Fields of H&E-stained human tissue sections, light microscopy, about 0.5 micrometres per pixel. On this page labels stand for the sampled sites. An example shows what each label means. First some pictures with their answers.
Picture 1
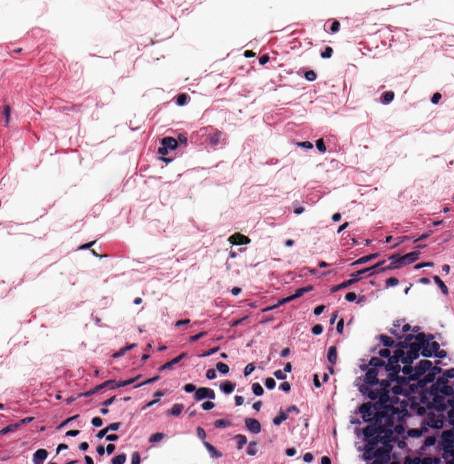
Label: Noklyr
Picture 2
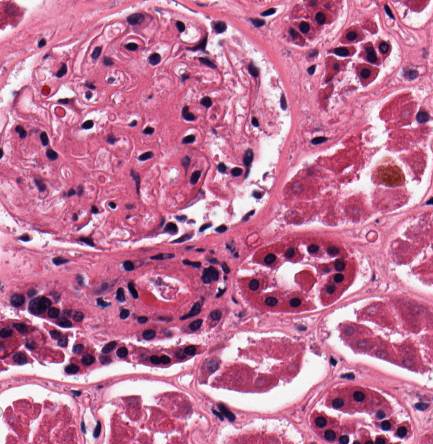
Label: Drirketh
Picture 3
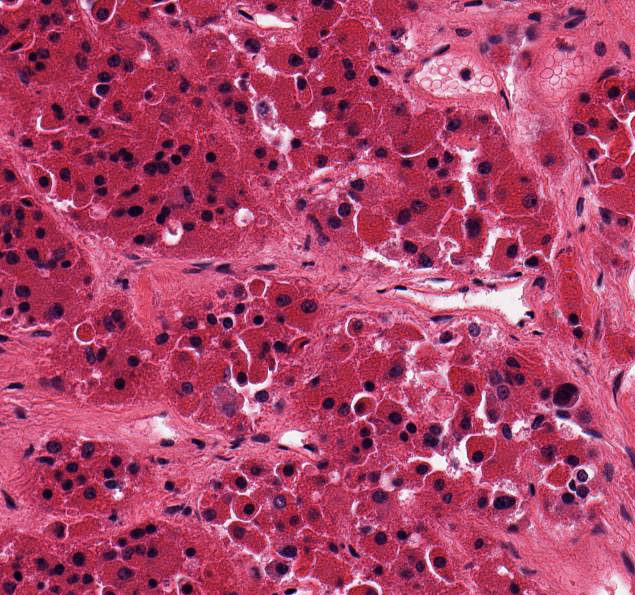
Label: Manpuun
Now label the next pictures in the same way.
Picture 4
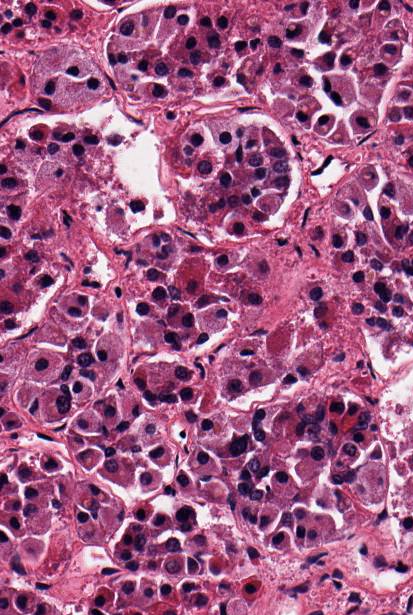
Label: Manpuun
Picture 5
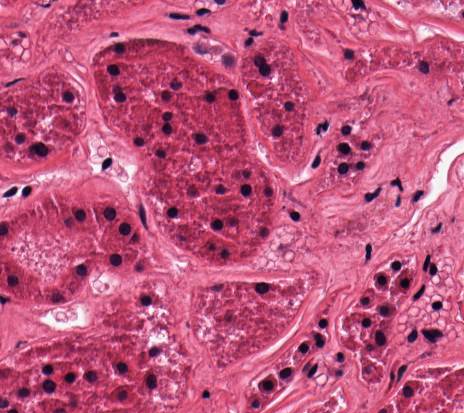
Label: Drirketh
